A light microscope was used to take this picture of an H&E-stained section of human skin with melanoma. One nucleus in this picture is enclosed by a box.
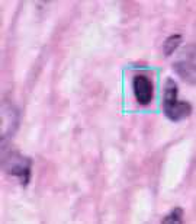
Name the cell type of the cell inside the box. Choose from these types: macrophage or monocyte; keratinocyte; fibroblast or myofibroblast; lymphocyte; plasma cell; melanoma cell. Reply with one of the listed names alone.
plasma cell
